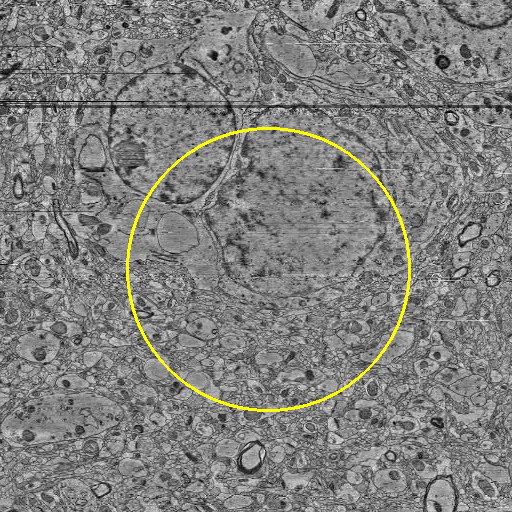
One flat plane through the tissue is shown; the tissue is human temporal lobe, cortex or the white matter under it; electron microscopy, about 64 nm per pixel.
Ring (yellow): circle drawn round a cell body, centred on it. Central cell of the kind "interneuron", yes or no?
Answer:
yes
